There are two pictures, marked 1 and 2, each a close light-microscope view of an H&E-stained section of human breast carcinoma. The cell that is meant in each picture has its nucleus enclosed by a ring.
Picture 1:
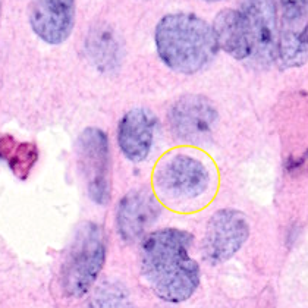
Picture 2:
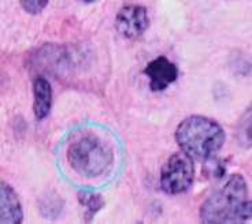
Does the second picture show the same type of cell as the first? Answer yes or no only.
yes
